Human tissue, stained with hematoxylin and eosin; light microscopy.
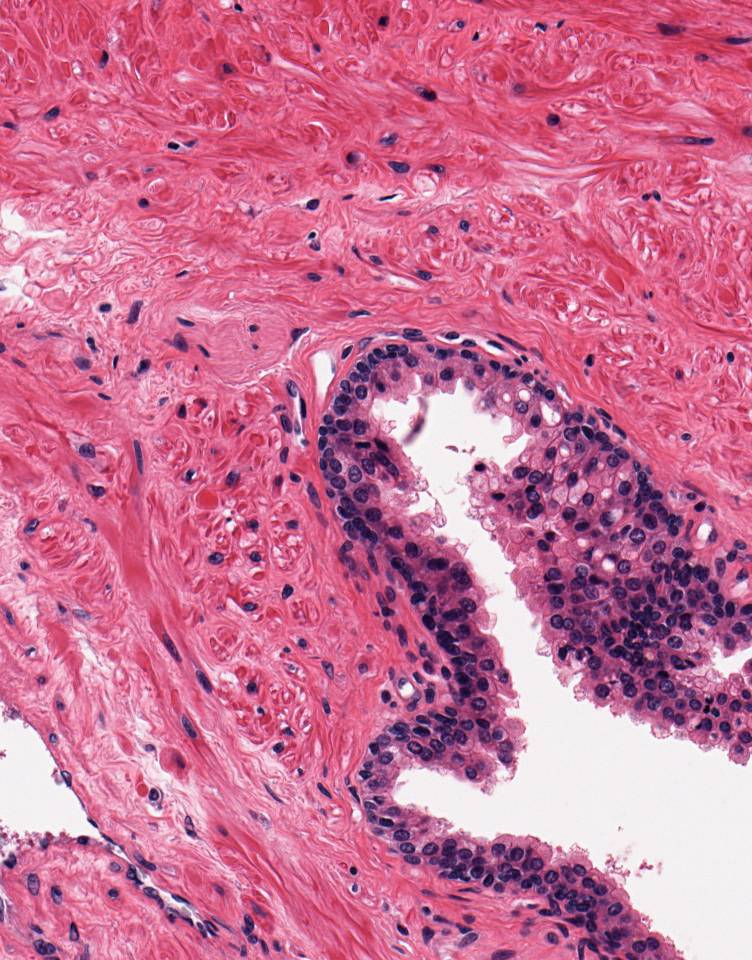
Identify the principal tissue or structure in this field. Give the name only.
fibromuscular stroma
